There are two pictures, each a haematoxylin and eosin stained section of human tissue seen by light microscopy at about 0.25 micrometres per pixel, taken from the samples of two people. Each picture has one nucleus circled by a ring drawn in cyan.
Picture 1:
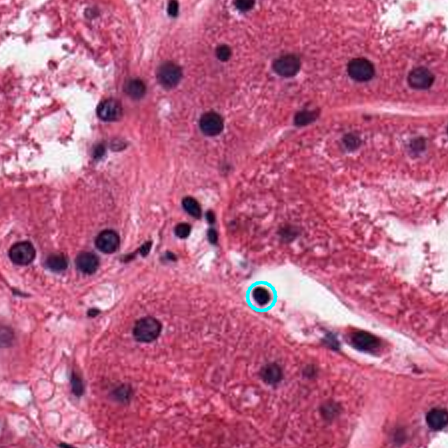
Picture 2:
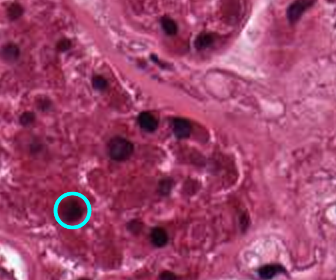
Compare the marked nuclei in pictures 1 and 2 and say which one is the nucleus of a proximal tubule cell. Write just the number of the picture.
2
